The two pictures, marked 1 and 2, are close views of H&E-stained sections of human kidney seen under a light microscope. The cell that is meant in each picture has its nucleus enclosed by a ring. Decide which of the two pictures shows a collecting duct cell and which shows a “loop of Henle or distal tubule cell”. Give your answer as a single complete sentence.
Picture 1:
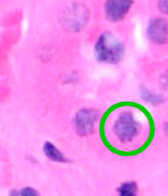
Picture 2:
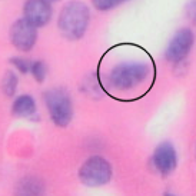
The cell in picture 1 is a “loop of Henle or distal tubule cell”, and the one in picture 2 is a collecting duct cell.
